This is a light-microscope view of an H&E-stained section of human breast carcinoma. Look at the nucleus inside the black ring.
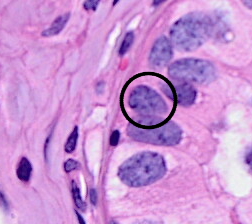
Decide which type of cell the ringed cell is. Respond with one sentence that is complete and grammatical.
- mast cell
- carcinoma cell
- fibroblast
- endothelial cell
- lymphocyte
Cell type answer for this item: the ringed cell is a carcinoma cell.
